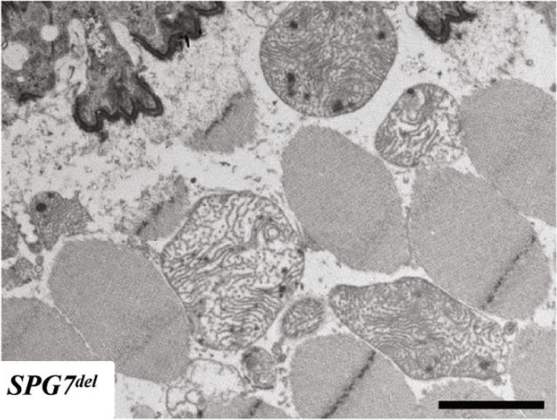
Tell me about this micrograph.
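Flight muscle in cross section shows large oval grey myofibrils alternating with mitochondria of varying size. The mitochondria are pale and contain swirling, irregular cristae, with a few small dark dots in their matrix. Much of the space between myofibrils and mitochondria is pale and sparsely filled. Dark folded membranous material lies at the upper left edge of the field.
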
